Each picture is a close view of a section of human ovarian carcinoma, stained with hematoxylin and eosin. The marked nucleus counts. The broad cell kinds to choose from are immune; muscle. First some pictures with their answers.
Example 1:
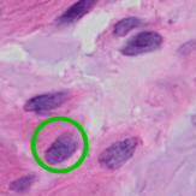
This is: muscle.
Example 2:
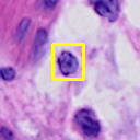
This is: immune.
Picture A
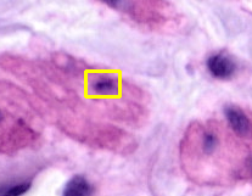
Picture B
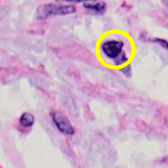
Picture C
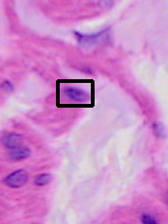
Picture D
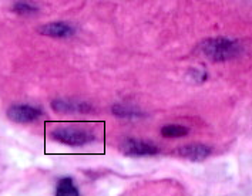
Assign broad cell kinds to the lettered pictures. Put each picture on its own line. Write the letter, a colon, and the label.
A: muscle.
B: immune.
C: muscle.
D: muscle.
